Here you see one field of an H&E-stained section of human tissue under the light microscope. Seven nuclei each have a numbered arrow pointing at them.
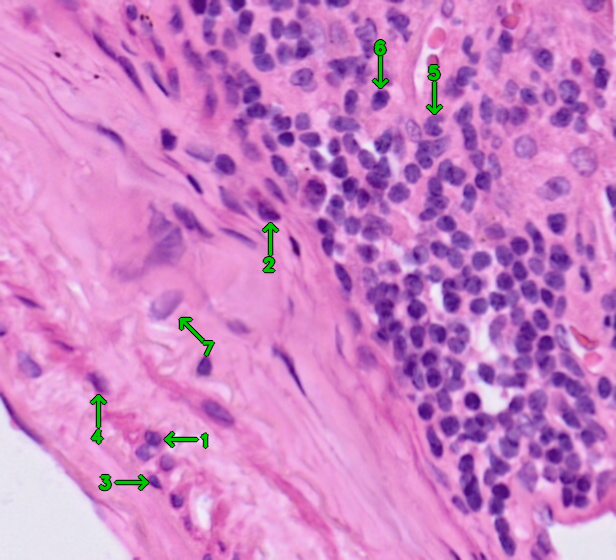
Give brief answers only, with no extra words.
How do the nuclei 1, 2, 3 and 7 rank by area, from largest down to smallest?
7, 2, 1, 3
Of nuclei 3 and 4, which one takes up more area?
4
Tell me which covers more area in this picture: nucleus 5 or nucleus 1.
5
